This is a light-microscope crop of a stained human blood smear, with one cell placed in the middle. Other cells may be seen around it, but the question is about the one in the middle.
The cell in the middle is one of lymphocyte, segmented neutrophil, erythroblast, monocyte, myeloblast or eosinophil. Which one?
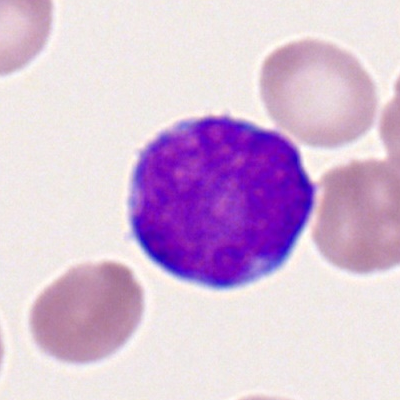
myeloblast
